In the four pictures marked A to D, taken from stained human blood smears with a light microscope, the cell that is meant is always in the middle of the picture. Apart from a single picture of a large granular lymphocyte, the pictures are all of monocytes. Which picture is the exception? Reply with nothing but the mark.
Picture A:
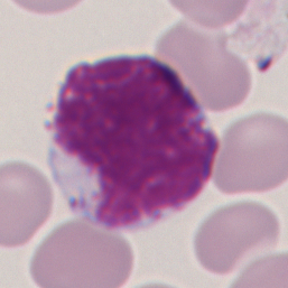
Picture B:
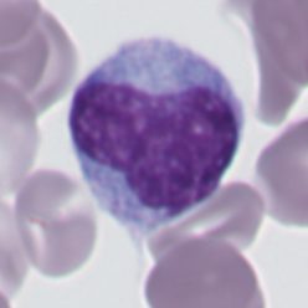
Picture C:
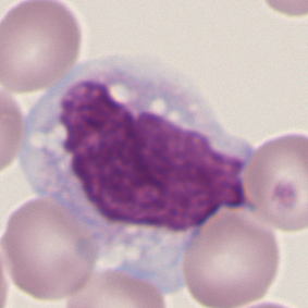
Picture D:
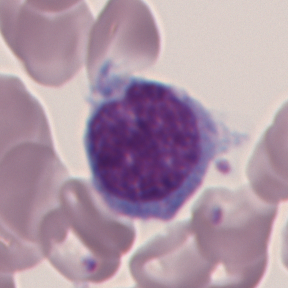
A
